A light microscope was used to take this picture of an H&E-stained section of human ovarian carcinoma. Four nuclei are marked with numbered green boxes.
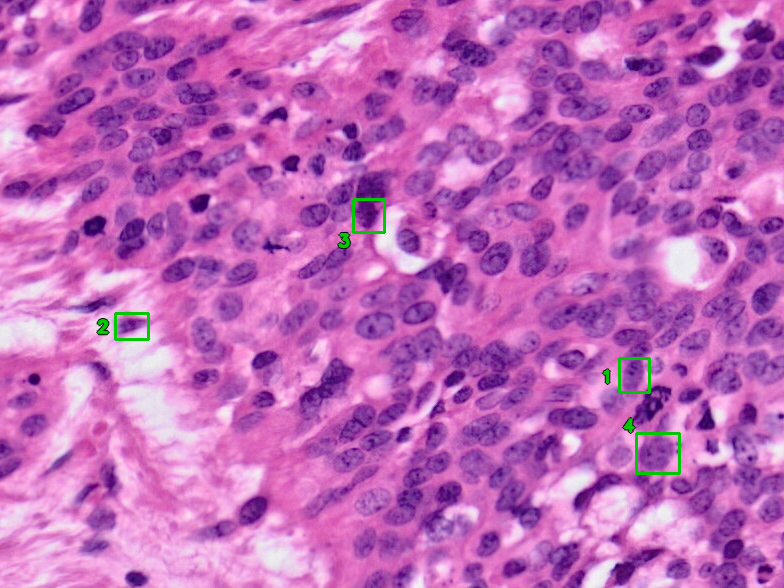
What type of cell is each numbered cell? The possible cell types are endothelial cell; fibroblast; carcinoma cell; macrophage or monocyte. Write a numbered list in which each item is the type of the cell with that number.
1. carcinoma cell
2. fibroblast
3. carcinoma cell
4. carcinoma cell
